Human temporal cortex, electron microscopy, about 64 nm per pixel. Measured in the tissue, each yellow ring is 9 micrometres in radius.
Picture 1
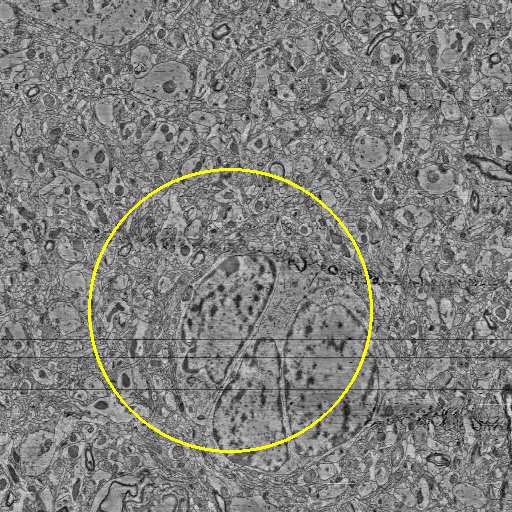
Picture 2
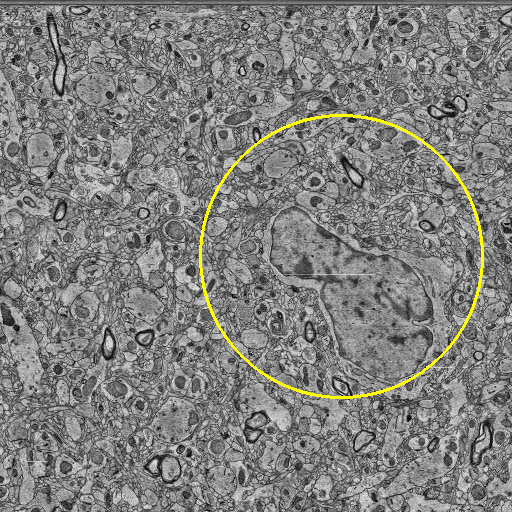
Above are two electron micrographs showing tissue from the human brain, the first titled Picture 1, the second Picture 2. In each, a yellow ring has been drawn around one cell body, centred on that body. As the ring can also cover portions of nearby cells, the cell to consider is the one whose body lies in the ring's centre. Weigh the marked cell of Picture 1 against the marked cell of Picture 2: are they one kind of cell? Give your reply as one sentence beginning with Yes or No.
Yes, the two cells sitting at the ring centres in the pictures are of one kind.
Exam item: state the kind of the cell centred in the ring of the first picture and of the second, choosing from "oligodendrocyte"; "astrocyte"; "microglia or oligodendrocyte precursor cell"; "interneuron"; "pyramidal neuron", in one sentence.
Both the first and the second picture show a microglial cell or oligodendrocyte precursor cell in the ring.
